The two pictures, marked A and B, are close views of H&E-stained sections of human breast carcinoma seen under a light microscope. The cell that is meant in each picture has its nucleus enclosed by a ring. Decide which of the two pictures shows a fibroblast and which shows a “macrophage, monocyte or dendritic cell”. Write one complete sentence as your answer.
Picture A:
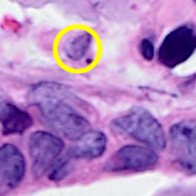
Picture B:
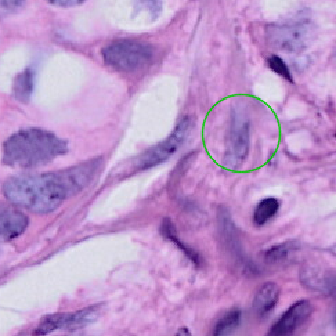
Picture A is of a “macrophage, monocyte or dendritic cell”, and picture B is of a fibroblast.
